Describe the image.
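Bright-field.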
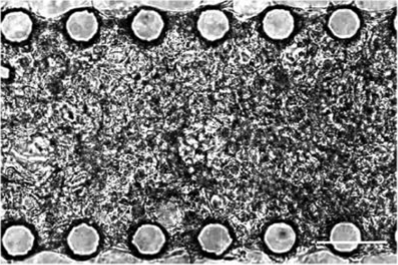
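The cells are packed densely and appear as small, rounded, granular profiles filling the whole band. There is little sign of elongated or aligned cells, giving the tissue a compact, speckled look.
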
